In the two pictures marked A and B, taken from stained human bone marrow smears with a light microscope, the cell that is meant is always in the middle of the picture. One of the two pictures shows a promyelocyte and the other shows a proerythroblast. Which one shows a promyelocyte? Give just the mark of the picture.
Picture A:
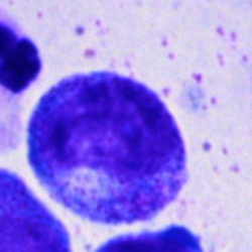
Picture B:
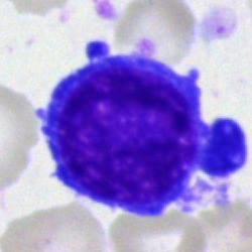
A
